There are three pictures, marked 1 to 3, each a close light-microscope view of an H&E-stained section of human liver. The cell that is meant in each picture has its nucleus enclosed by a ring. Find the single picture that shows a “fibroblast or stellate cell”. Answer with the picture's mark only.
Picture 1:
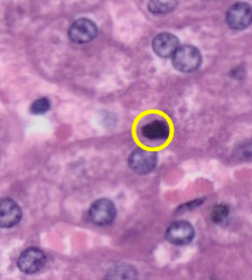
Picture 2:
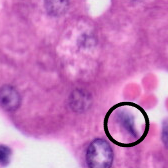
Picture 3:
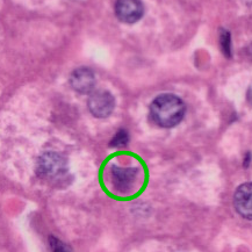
1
